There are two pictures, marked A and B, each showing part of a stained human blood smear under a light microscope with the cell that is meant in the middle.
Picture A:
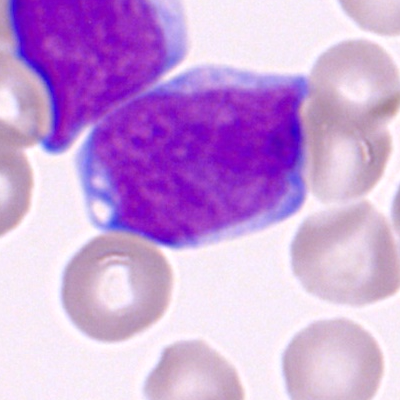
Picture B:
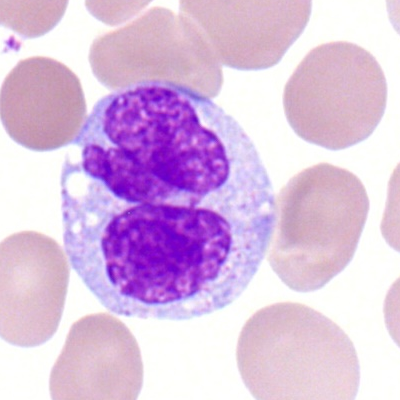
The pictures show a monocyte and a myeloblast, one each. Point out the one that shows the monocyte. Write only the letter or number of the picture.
B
